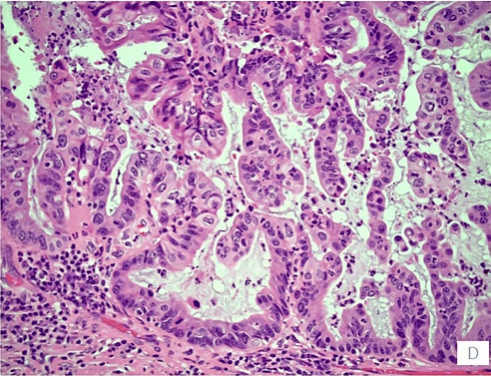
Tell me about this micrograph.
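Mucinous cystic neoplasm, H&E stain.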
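Crowded, complex glandular epithelium with branching and papillary profiles showing high-grade dysplasia. Nuclei are enlarged, rounded and stratified with prominent nucleoli and lost polarity, the cytoplasm pink with little mucin. Scattered inflammatory cells lie in the thin stroma between glands.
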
